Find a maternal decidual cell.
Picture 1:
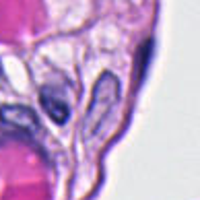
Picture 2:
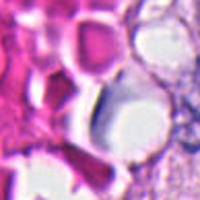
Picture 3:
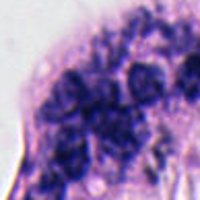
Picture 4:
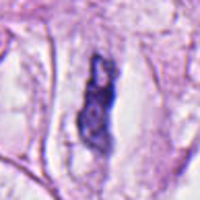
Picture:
4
